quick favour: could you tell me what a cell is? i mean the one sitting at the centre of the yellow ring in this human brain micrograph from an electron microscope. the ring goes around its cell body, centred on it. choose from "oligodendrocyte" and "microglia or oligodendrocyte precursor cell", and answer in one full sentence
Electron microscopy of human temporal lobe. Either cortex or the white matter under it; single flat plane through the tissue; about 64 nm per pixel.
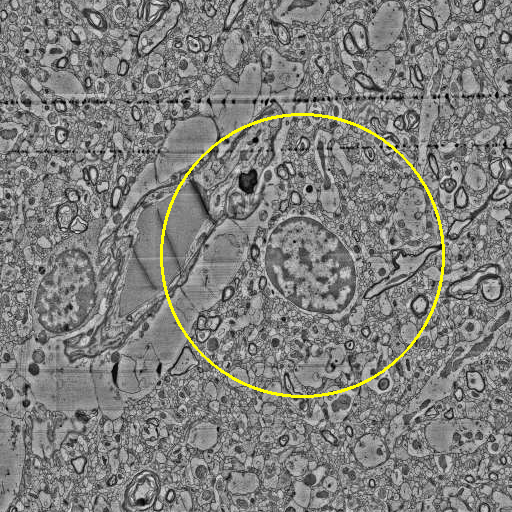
That's a microglial cell or oligodendrocyte precursor cell, the cell sitting at the centre of the yellow ring.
